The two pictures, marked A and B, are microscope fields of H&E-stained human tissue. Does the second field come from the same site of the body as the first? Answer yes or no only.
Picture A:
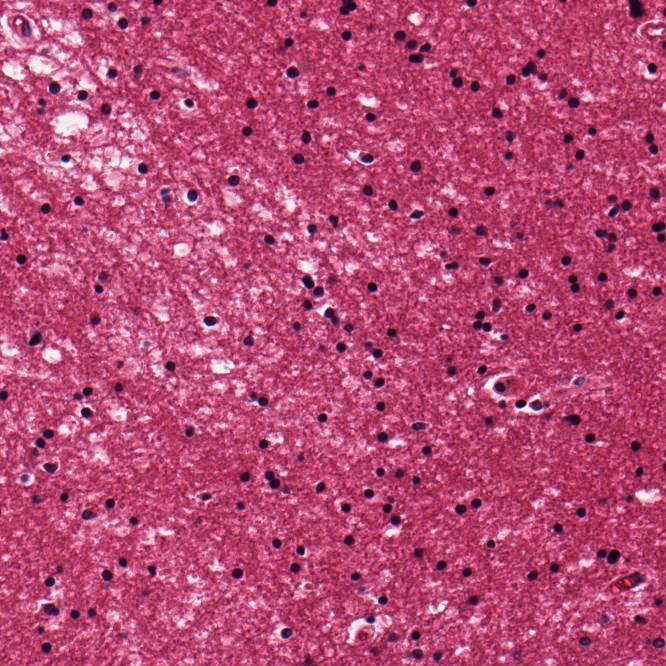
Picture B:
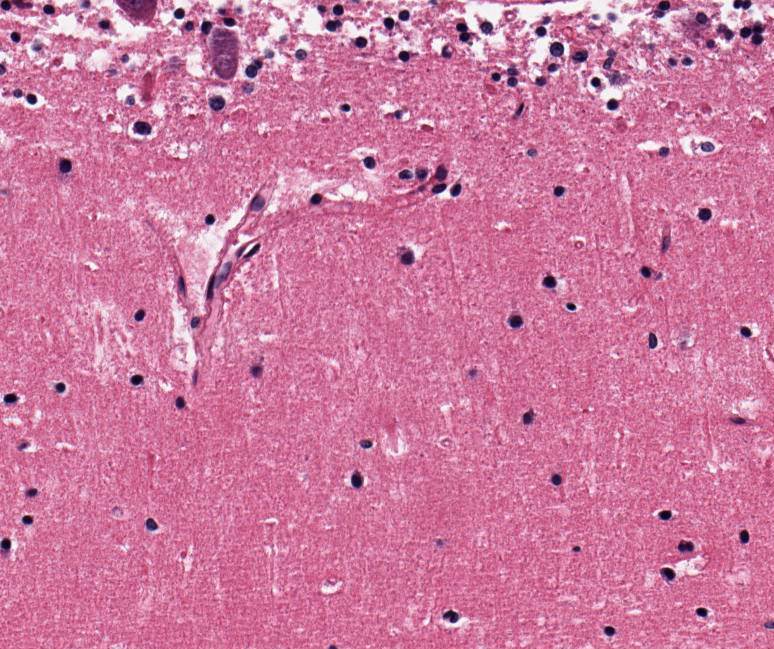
no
